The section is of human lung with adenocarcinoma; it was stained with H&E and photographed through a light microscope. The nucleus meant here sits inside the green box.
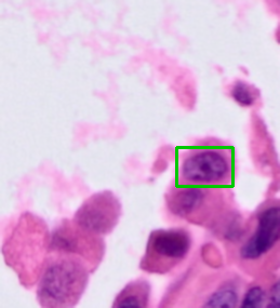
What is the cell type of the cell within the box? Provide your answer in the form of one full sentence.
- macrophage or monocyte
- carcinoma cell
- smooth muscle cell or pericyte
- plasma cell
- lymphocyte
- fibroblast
Within the stained tissue, the cell within the box is a carcinoma cell.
